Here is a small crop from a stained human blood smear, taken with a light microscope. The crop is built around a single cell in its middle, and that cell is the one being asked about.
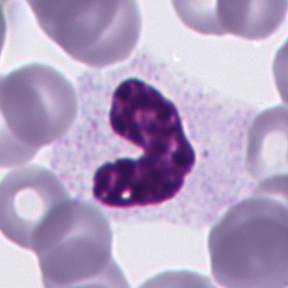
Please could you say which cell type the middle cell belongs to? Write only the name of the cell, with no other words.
band neutrophil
